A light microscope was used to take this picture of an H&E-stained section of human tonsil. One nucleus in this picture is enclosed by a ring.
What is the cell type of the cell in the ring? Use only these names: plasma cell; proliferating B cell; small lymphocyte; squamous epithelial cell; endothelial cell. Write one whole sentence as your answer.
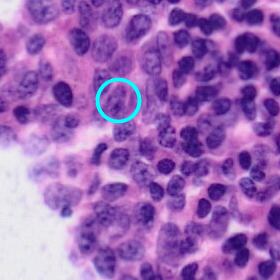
For the purposes of cell typing, the cell in the ring is categorized as a proliferating B cell.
